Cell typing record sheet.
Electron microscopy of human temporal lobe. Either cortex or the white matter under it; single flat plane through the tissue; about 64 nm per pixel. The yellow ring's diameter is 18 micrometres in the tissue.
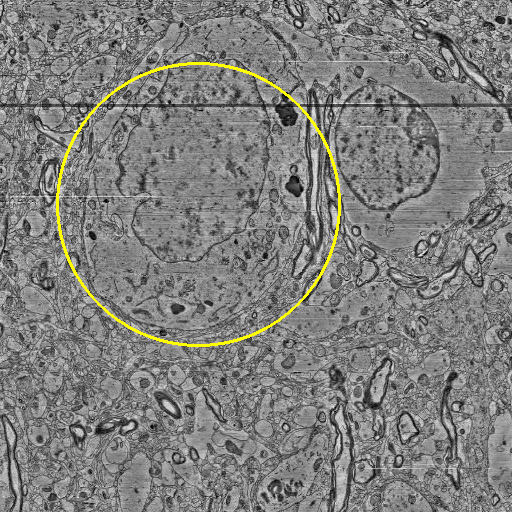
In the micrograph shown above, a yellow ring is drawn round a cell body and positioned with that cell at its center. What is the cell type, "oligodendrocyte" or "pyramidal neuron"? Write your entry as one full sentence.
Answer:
The cell body at the center of the ring belongs to a pyramidal neuron.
